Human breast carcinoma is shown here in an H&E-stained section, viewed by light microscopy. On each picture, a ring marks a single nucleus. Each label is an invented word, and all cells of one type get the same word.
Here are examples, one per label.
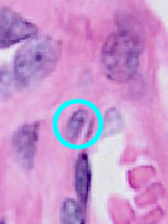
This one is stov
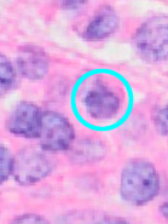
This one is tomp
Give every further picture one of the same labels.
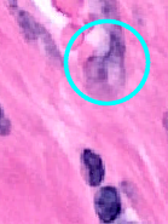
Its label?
stov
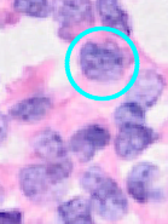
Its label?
tomp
